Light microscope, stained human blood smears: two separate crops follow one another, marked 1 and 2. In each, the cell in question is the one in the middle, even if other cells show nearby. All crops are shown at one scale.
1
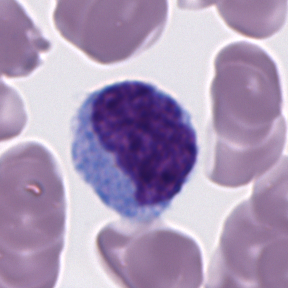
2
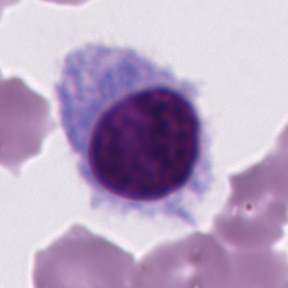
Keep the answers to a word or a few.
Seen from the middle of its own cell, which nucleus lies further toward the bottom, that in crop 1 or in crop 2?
2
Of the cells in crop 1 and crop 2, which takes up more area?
2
